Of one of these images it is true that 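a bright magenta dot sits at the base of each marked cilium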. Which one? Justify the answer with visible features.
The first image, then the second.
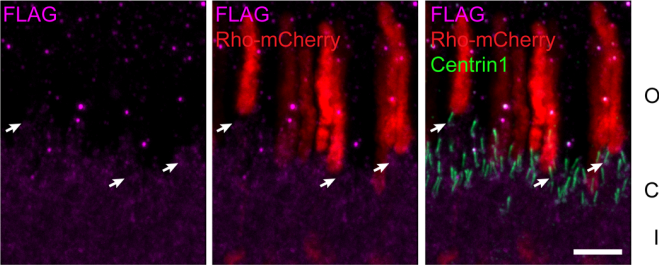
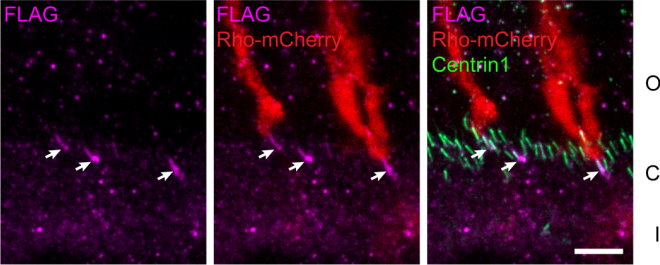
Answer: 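First image: the arrows point to places with little or no distinct magenta at the base of the green cilia. Second image: the arrows point to bright magenta dots at the base of the green cilia, below red outer segments. On this evidence: the second image.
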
